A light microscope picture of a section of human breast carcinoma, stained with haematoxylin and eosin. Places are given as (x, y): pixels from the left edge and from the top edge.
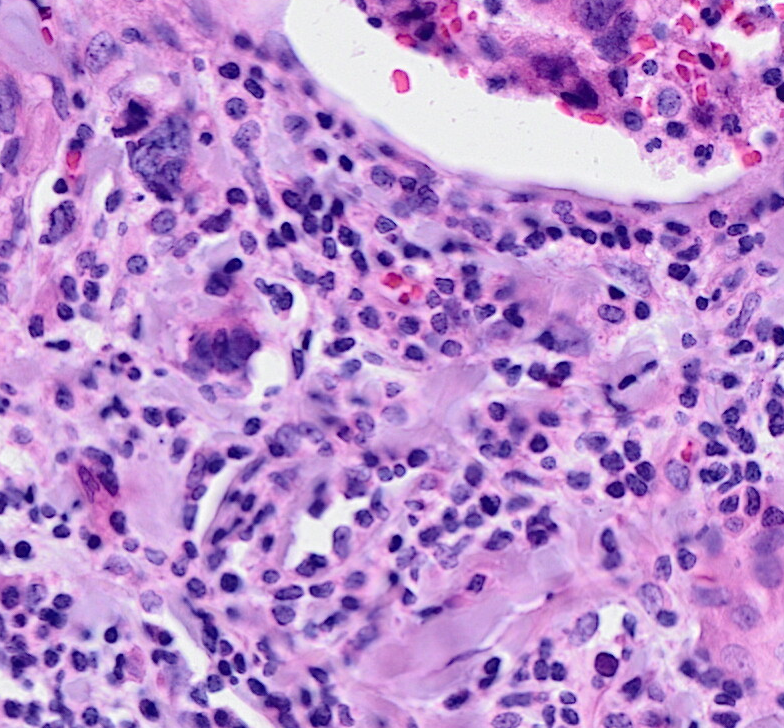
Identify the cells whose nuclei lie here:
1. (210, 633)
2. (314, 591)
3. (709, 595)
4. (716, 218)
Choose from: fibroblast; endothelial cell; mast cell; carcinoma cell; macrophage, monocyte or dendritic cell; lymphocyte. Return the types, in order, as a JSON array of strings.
["lymphocyte", "lymphocyte", "endothelial cell", "lymphocyte"]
